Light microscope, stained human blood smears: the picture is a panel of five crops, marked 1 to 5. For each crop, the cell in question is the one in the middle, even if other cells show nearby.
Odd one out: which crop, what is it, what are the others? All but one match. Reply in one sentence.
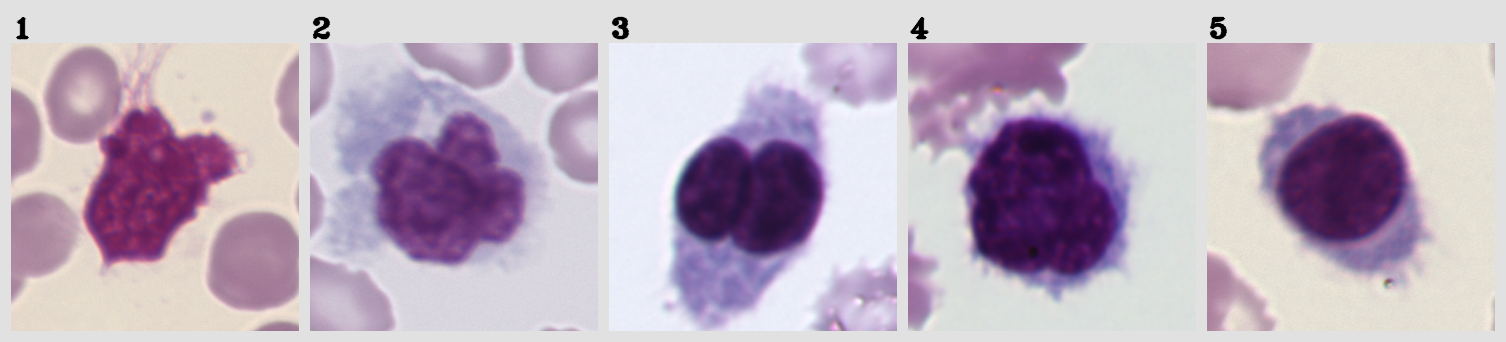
The exception in this group is crop 1, a smudge cell, and the others are all hairy cells.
